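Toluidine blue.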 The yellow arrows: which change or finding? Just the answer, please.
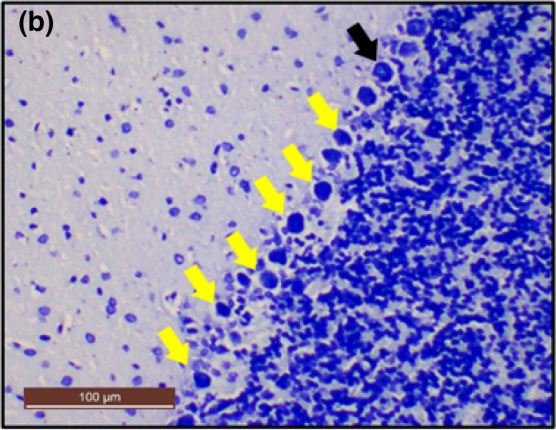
Degeneration of Purkinje cells.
